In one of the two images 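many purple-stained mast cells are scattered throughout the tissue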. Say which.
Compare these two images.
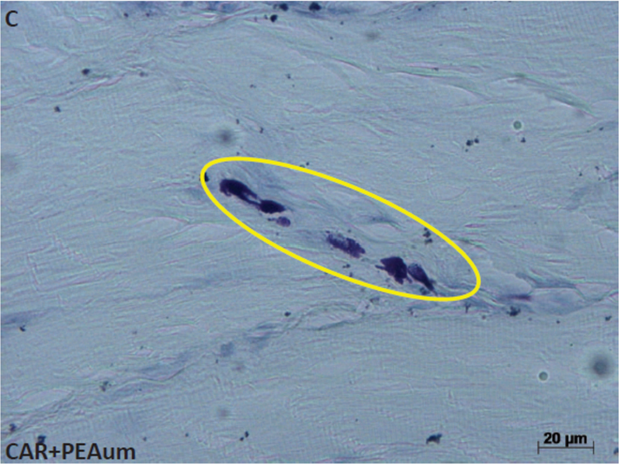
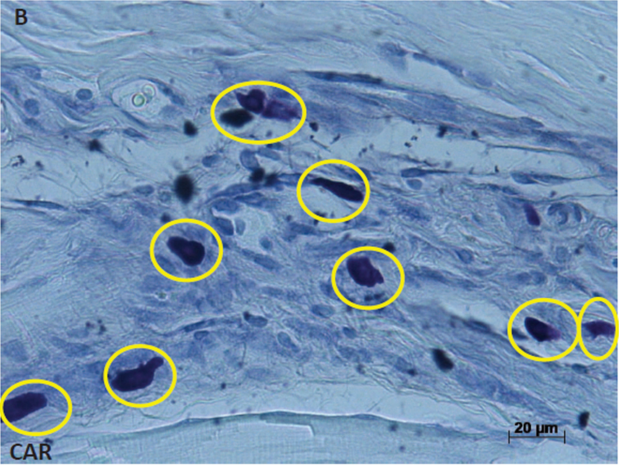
The second image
